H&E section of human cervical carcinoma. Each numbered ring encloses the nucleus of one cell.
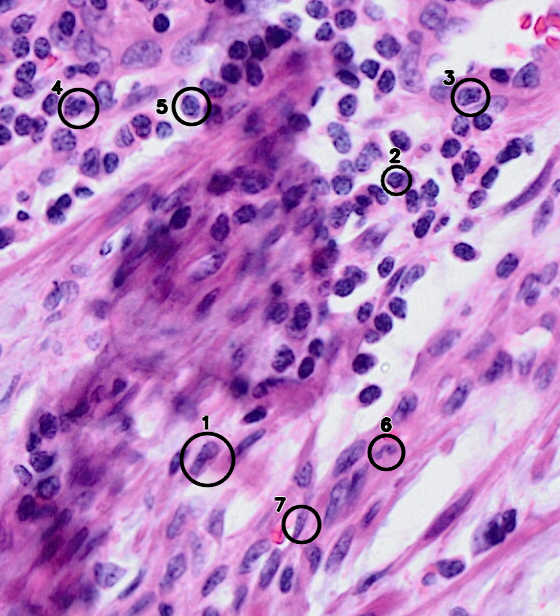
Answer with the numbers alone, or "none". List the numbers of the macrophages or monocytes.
1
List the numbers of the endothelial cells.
6, 7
